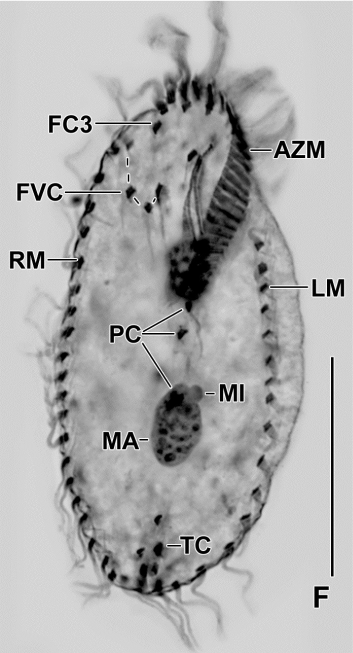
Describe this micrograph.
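A dark, comb-like zone of membranelles runs from the front end down one side of the anterior half, scattered stout cirri lie on the front of the ventral surface, and a cluster of stout cirri sits near the rear end. An ovoid macronuclear nodule with coarse dark granules lies mid-body with a small round micronucleus beside it.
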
